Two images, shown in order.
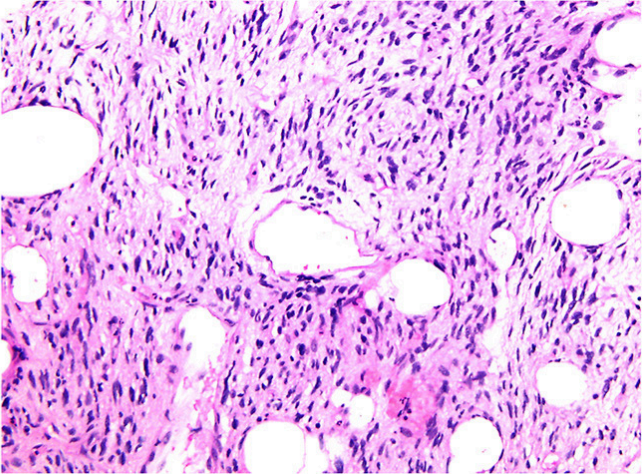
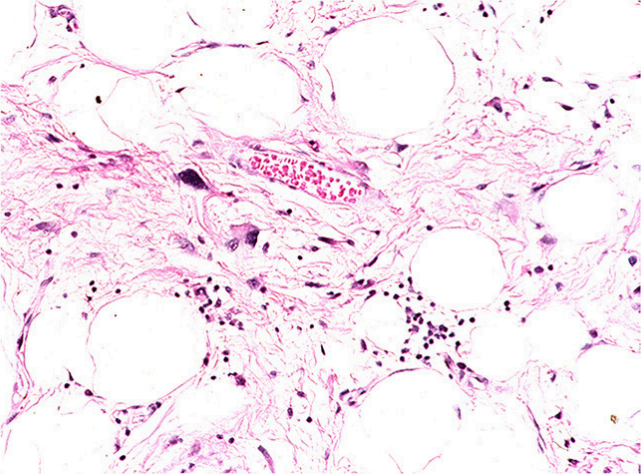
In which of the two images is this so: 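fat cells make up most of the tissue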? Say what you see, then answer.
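First image: only scattered round empty vacuoles among densely packed spindle cells. On this evidence: the second image.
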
